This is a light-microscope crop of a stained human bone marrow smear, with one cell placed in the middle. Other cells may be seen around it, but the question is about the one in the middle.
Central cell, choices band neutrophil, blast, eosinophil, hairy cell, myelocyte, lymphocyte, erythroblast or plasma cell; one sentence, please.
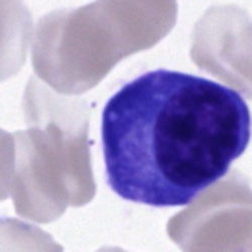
The cell at the central position in this crop is a plasma cell.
